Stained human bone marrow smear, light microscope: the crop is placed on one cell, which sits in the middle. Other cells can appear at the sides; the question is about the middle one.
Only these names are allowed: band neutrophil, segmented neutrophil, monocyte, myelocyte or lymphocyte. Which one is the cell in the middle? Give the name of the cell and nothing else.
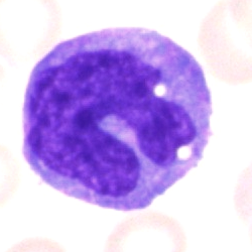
monocyte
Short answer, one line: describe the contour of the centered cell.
The border of this cell runs smooth and free of any projections.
